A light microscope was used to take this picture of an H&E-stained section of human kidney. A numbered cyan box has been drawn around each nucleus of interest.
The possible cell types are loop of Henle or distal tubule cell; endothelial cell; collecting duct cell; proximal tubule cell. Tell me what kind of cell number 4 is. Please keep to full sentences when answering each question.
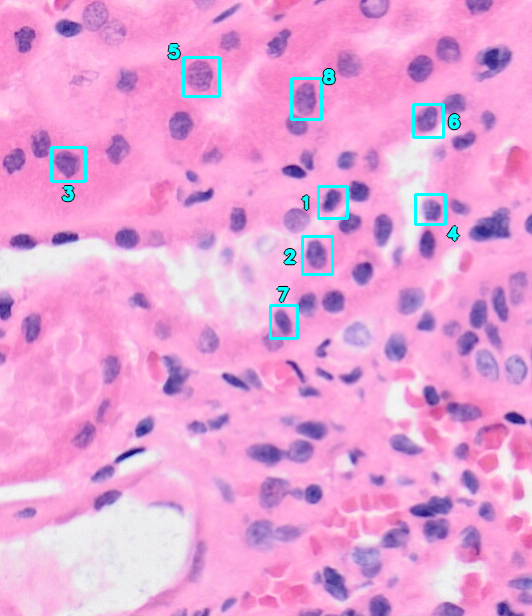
Cell 4, among those numbered, is a loop of Henle or distal tubule cell.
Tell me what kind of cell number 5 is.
The cell pointed out as number 5 is a proximal tubule cell.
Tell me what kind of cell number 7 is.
The cell tagged with 7 in this tissue section is a loop of Henle or distal tubule cell.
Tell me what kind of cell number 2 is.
The nucleus marked 2 is the nucleus of a loop of Henle or distal tubule cell.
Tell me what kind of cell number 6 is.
The cell bearing label 6 corresponds to a loop of Henle or distal tubule cell.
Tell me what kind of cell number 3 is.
As for number 3, that cell is a proximal tubule cell.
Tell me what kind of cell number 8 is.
The cell identified by the number 8 is a proximal tubule cell.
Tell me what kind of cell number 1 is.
Cell 1 of the marked set is a loop of Henle or distal tubule cell.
